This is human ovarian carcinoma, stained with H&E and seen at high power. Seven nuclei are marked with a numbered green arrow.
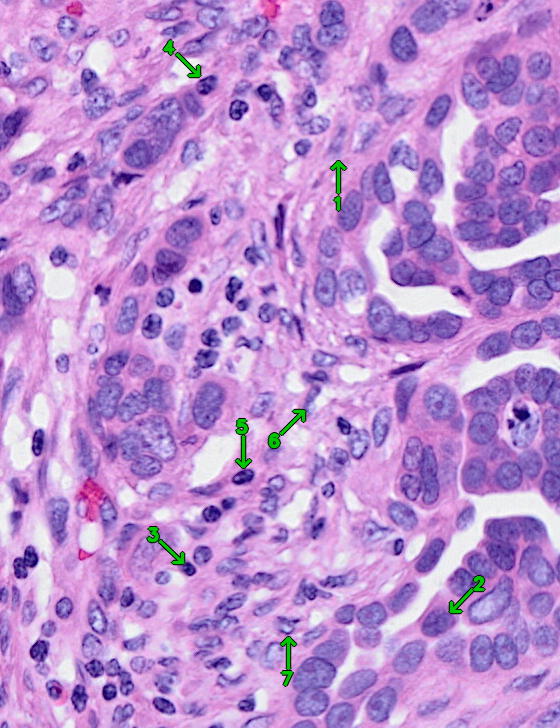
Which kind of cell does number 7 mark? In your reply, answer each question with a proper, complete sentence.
The cell assigned the number 7 is a fibroblast.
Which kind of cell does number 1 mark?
The numbered cell 1 in this field is a fibroblast.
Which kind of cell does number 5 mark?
In this section, the cell numbered 5 is a lymphocyte.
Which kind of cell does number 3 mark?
Among the marked nuclei, number 3 belongs to a lymphocyte.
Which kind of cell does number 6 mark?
The cell numbered 6 represents a fibroblast.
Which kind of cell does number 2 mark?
The cell that bears the number 2 is a carcinoma cell.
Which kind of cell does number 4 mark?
Among the marked nuclei, number 4 belongs to a lymphocyte.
